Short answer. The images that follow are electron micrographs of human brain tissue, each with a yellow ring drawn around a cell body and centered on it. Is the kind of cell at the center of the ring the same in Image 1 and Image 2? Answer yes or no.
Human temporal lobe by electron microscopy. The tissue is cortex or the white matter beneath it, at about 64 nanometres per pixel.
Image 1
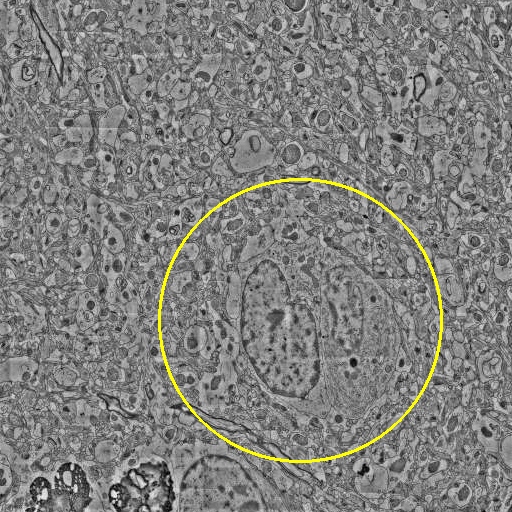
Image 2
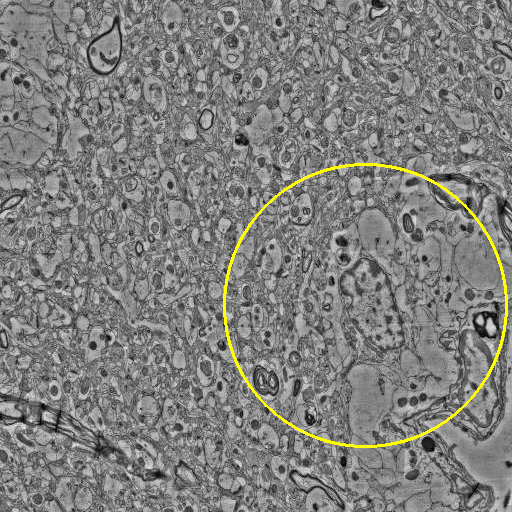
yes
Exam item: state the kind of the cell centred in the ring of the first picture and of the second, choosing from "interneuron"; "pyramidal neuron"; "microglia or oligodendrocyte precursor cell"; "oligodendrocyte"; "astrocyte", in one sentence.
The cell in the first picture is a microglial cell or oligodendrocyte precursor cell, and so is the one in the second.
